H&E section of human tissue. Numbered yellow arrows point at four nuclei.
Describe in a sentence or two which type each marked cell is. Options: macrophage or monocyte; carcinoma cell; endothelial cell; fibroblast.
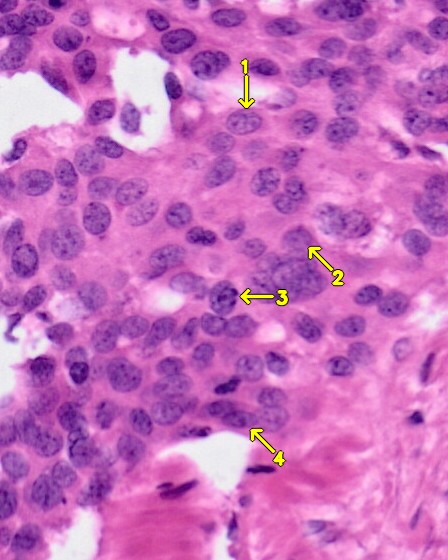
Cells 1, 2 and 4 are carcinoma cells. Cell 3 is a macrophage or monocyte.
